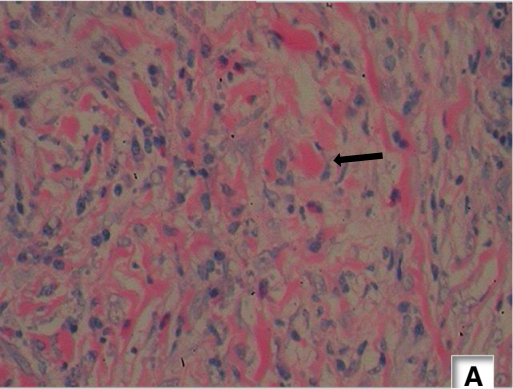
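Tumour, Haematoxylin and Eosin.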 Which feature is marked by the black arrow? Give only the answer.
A: collagen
